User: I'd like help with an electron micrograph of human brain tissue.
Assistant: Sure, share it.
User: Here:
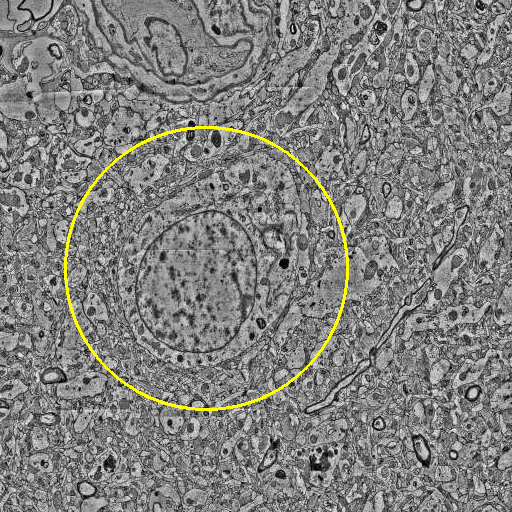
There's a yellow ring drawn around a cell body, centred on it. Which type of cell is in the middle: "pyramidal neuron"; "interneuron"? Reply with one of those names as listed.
pyramidal neuron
